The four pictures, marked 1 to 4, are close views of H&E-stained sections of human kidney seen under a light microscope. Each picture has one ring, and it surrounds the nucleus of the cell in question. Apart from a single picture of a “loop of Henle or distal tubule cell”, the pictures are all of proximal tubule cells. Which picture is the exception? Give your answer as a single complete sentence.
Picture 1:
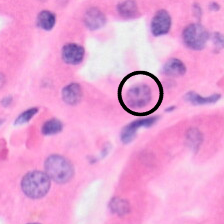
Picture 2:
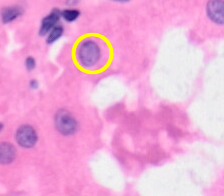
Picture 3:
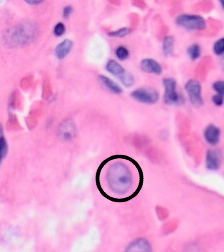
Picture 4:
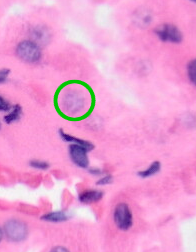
The picture with the “loop of Henle or distal tubule cell” is 1.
